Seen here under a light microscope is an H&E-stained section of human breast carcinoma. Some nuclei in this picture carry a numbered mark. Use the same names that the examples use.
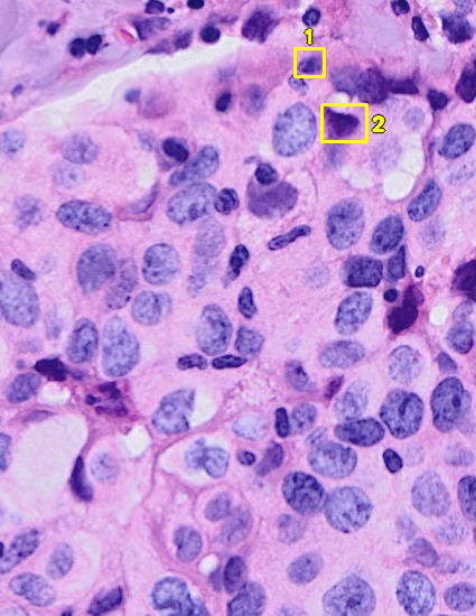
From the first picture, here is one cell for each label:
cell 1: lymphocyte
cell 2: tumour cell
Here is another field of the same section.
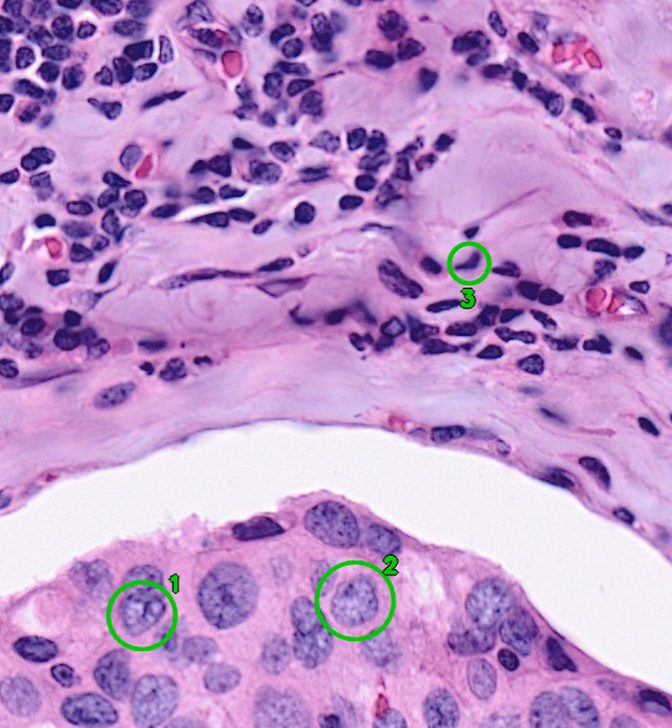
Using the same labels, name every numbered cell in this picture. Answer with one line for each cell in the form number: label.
1: tumour cell
2: tumour cell
3: lymphocyte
